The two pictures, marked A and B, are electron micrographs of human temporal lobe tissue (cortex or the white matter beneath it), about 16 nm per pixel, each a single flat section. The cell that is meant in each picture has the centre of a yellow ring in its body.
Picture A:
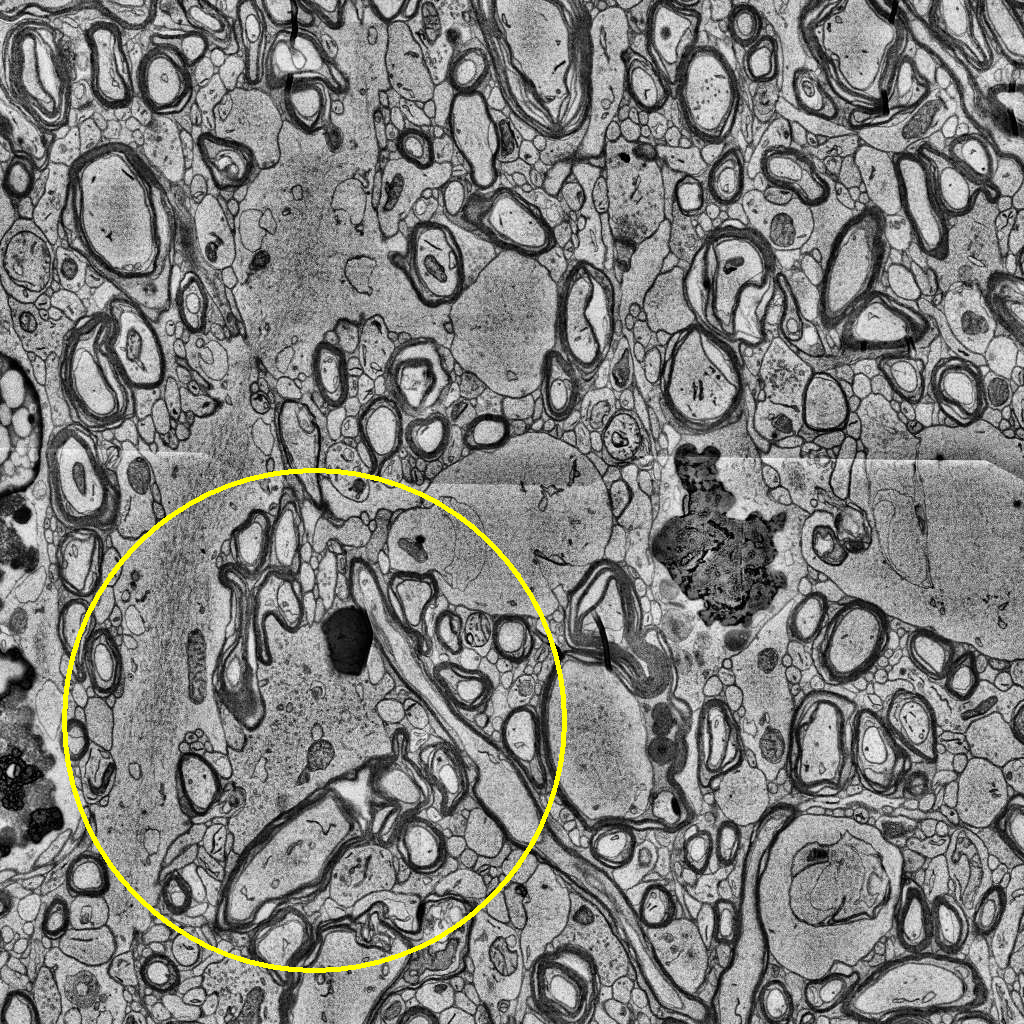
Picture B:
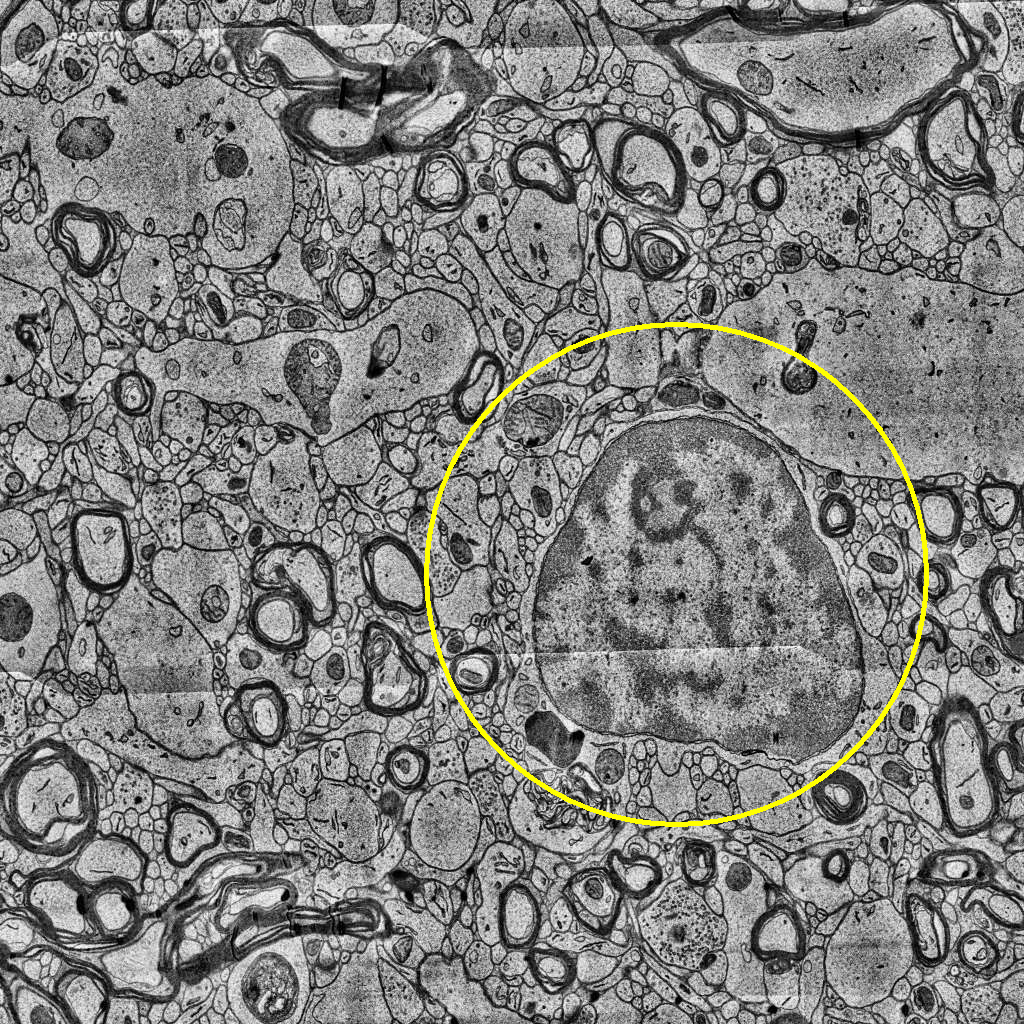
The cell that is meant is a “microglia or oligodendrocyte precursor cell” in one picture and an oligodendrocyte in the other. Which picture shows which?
Picture A shows an oligodendrocyte and picture B shows a “microglia or oligodendrocyte precursor cell”.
